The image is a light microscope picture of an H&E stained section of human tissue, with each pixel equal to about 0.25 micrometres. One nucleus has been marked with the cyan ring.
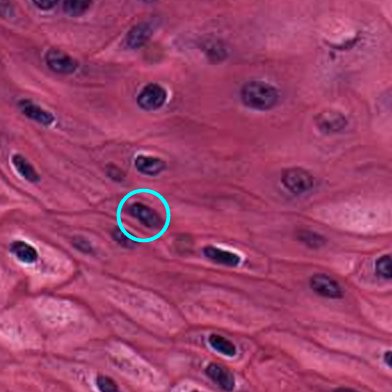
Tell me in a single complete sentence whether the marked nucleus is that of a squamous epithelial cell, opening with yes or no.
Yes, to a squamous epithelial cell belongs the marked nucleus.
